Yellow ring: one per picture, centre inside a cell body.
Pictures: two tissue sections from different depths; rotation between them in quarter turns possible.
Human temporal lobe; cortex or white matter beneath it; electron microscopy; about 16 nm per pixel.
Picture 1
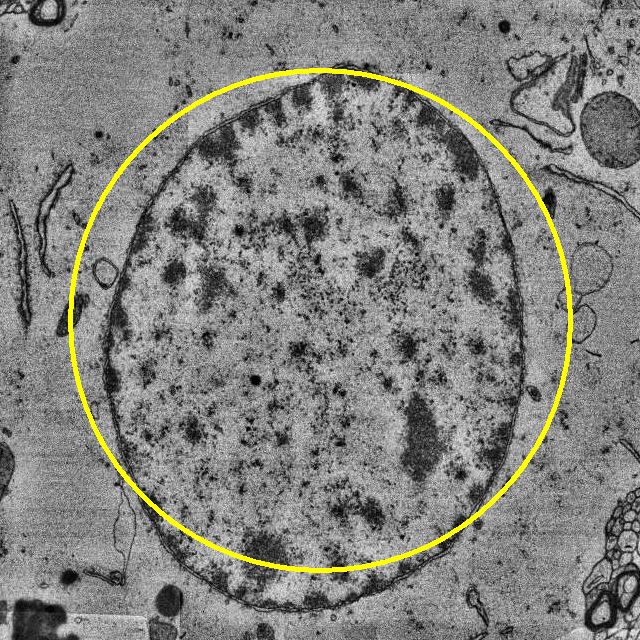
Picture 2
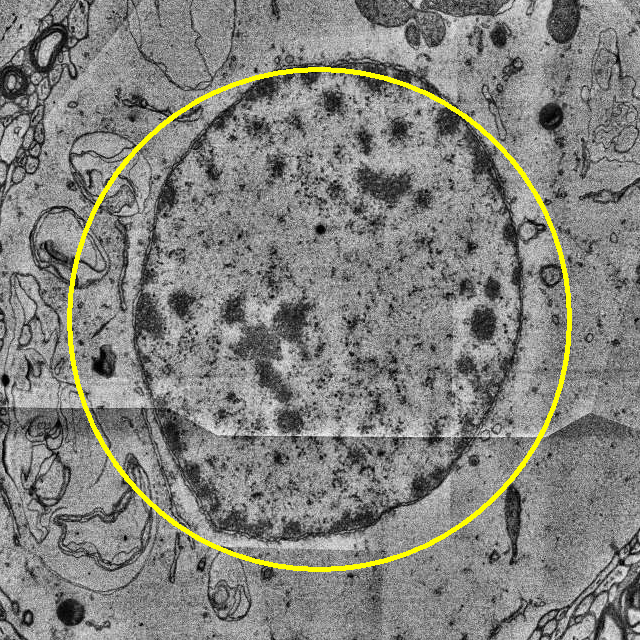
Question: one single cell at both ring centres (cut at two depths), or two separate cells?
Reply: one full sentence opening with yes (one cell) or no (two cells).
Yes, the two rings mark one cell and not separate cells.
